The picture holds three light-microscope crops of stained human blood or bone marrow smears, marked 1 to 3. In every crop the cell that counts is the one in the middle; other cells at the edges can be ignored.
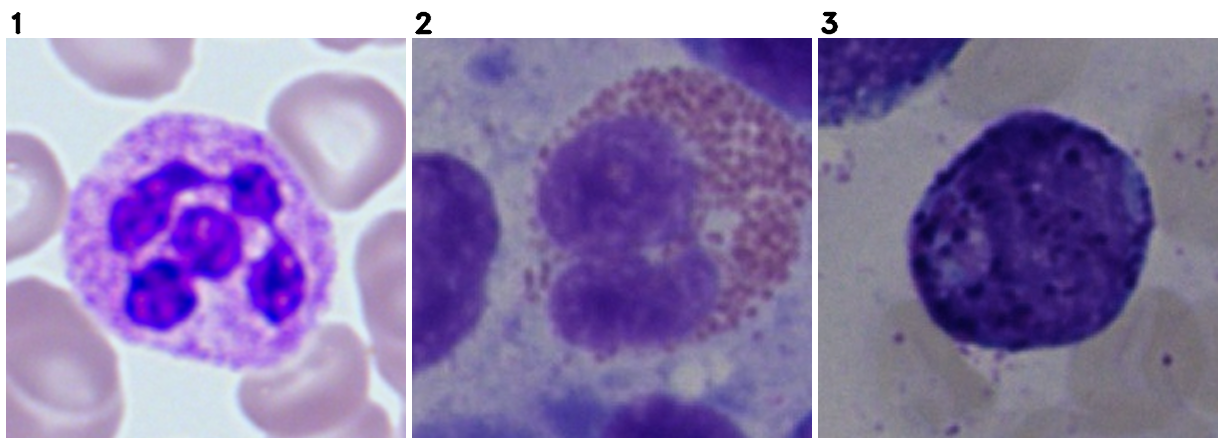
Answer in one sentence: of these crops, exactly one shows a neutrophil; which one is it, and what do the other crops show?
Going crop by crop, crop 1 is a neutrophil, while crop 2 is an eosinophil and crop 3 is a basophil.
